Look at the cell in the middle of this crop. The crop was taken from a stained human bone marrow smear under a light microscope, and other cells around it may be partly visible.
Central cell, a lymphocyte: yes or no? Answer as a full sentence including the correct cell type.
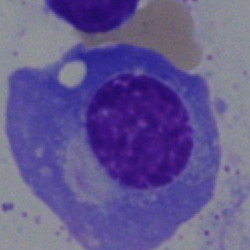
No, the central cell is a plasma cell, not a lymphocyte.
